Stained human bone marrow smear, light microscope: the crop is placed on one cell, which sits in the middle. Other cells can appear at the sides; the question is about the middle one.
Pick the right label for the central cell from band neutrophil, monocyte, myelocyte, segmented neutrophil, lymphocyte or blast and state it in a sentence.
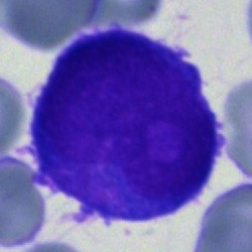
In this smear crop, the middle cell is a blast.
